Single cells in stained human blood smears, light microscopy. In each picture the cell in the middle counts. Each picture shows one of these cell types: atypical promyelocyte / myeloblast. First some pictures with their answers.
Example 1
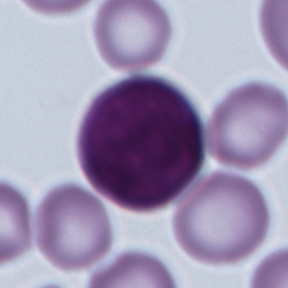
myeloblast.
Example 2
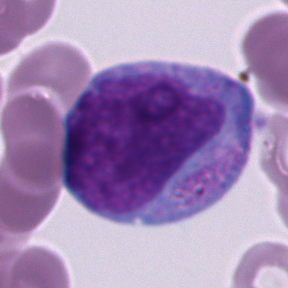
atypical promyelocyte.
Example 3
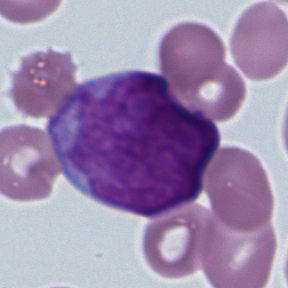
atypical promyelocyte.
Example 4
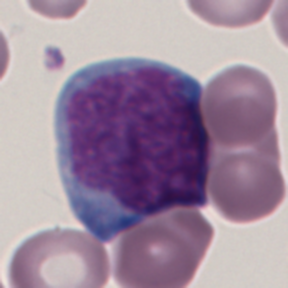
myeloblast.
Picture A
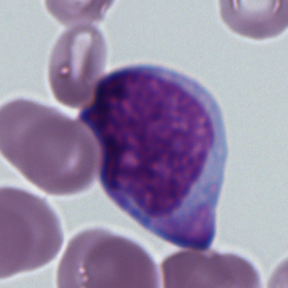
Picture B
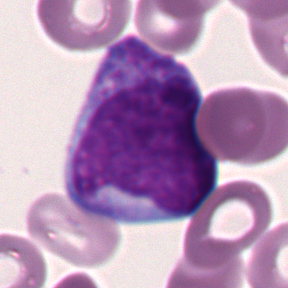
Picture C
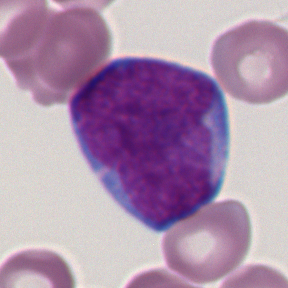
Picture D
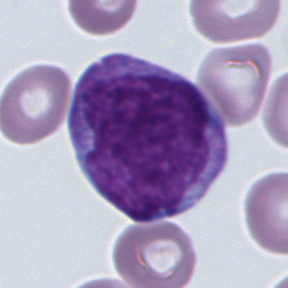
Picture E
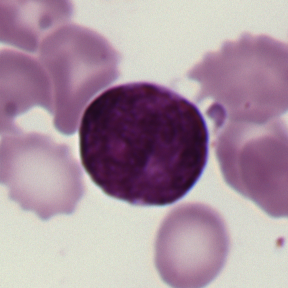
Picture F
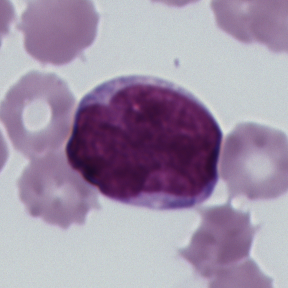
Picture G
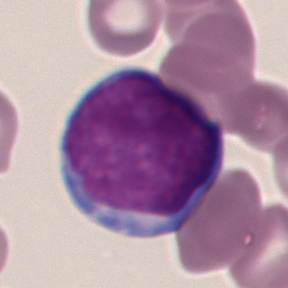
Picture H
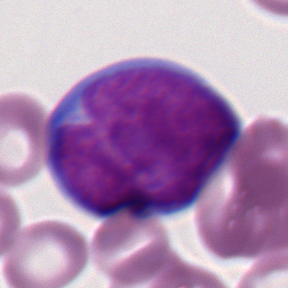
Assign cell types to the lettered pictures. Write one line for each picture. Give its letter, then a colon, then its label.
A: atypical promyelocyte.
B: atypical promyelocyte.
C: myeloblast.
D: atypical promyelocyte.
E: myeloblast.
F: myeloblast.
G: myeloblast.
H: myeloblast.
